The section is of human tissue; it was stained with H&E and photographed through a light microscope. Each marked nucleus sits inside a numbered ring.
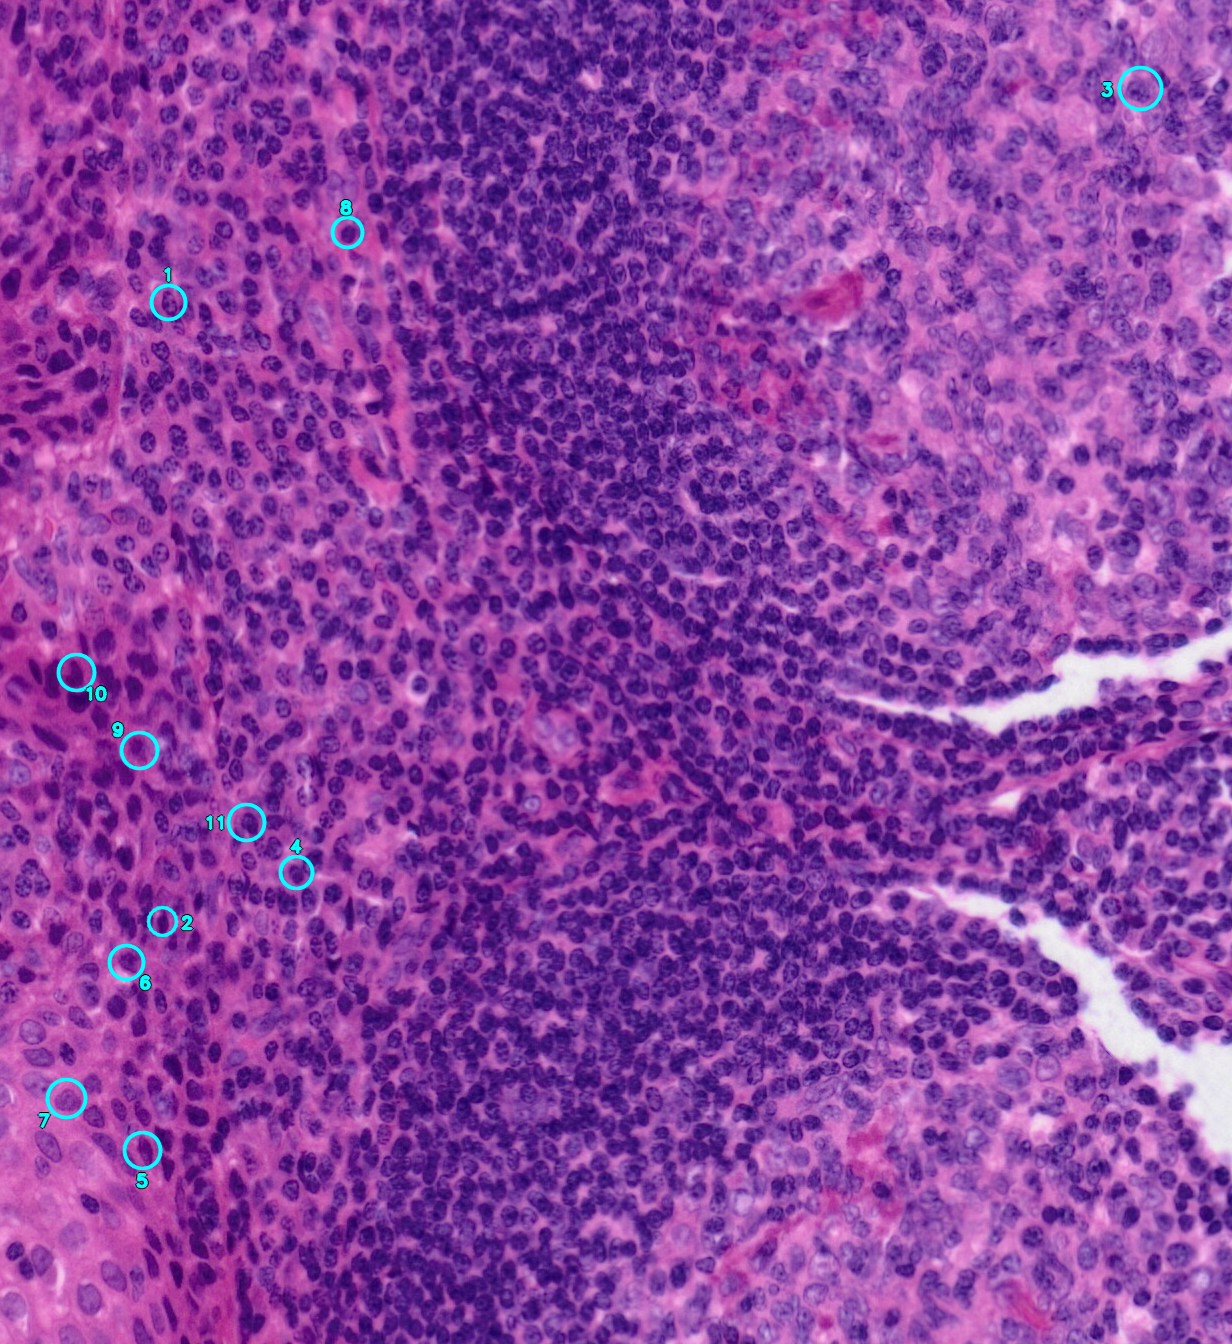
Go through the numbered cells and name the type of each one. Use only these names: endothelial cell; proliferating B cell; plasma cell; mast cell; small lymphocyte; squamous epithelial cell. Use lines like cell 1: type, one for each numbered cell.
cell 1: plasma cell
cell 2: squamous epithelial cell
cell 3: proliferating B cell
cell 4: plasma cell
cell 5: squamous epithelial cell
cell 6: squamous epithelial cell
cell 7: squamous epithelial cell
cell 8: endothelial cell
cell 9: squamous epithelial cell
cell 10: squamous epithelial cell
cell 11: plasma cell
